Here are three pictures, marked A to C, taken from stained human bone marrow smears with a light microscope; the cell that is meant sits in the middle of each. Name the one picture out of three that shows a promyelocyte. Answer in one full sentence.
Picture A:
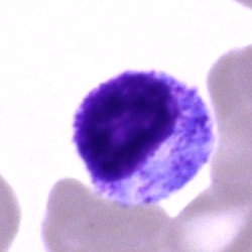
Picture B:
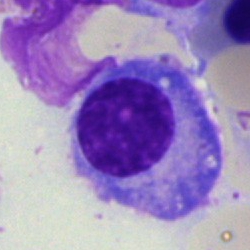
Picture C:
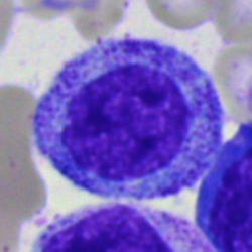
The promyelocyte is the one in picture C.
